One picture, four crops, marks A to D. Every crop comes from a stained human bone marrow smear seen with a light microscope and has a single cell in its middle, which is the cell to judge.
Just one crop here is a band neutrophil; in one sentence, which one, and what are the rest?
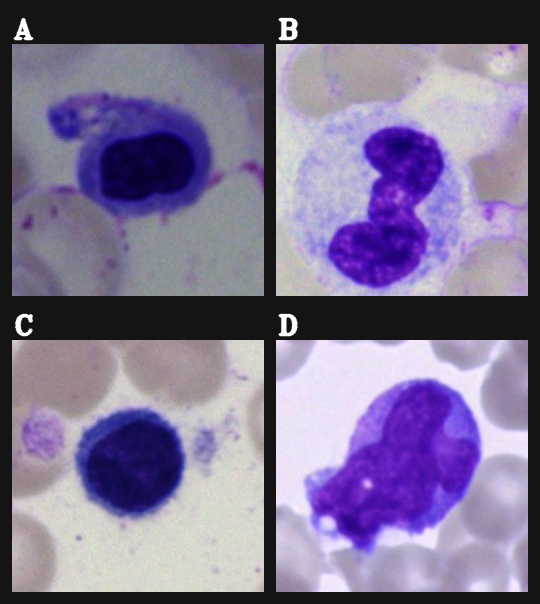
Placed in the middle of crop B is a band neutrophil, while crop A is an erythroblast, crop C is a lymphocyte and crop D is a monocyte.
